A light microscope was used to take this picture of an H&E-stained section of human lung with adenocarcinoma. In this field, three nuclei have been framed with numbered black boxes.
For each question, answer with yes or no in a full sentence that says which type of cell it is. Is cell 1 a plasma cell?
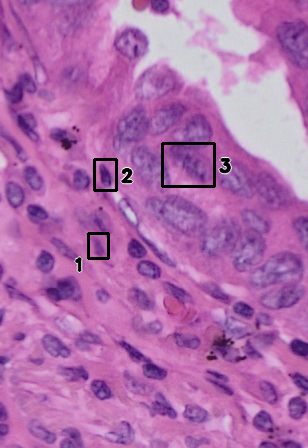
Yes, the cell numbered 1 in this tissue is a plasma cell.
